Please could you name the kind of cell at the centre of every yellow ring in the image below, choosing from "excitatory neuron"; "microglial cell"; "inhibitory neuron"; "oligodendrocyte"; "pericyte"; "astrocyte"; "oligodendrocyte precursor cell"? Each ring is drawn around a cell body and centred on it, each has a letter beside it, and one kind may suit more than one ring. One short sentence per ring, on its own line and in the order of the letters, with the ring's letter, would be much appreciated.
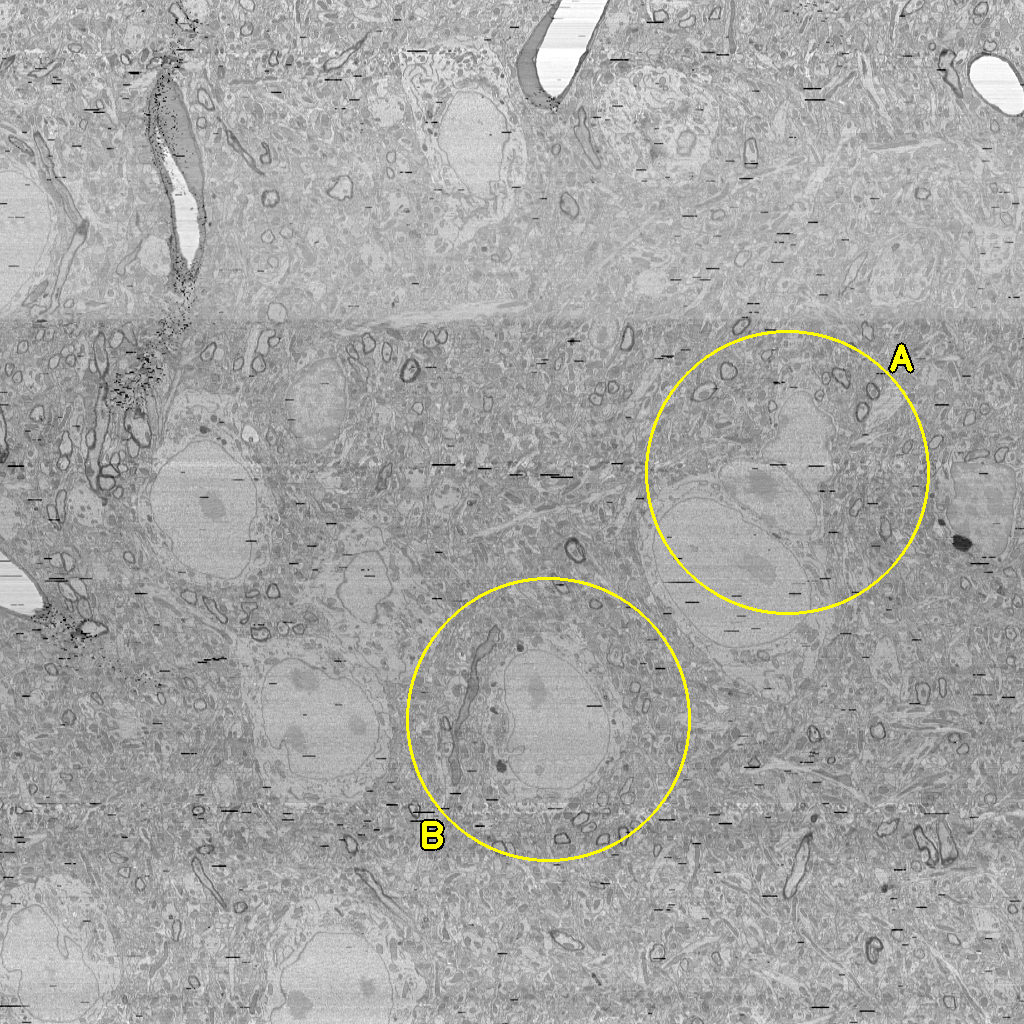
The cell in the middle of ring A is an oligodendrocyte precursor cell.
The cell in the middle of ring B is an excitatory neuron.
